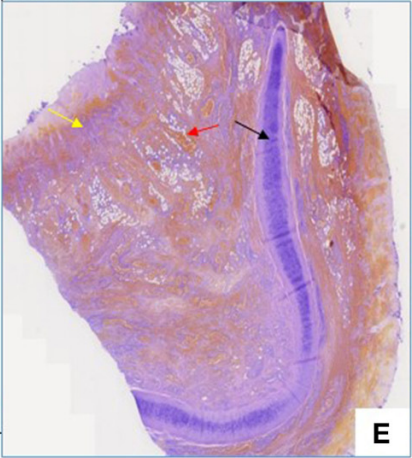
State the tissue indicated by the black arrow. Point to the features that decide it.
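The arrow points to a long, narrow, deep purple band running lengthwise through the tissue.
Answer: cartilage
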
